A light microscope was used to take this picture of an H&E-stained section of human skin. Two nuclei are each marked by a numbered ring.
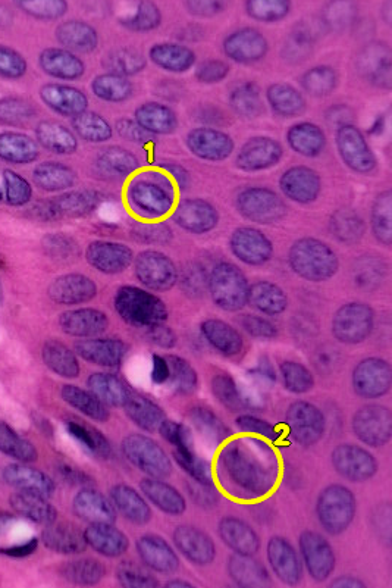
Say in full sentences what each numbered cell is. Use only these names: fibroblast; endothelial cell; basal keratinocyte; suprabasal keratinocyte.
Cell 1 is a suprabasal keratinocyte and cell 2 is a basal keratinocyte.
